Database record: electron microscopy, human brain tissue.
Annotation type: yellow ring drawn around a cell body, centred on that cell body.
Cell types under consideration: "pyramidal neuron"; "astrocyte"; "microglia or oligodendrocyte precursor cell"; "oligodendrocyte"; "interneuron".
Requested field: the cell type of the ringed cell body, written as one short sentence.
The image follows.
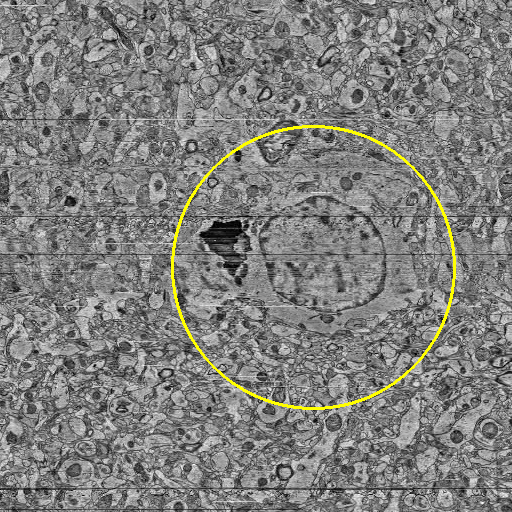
The ringed cell body represents an astrocyte.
